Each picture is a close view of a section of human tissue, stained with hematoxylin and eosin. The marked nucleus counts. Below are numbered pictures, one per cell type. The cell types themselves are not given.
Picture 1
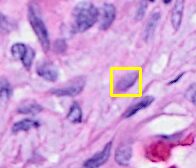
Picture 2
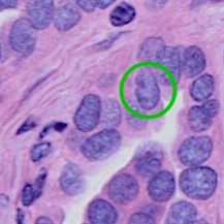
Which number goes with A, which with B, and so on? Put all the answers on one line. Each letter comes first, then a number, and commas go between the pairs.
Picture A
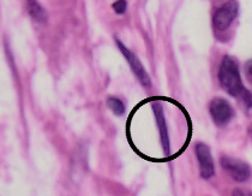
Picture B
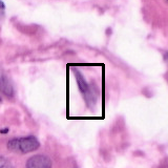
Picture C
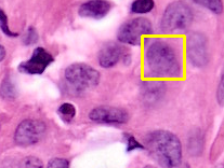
A 1, B 1, C 2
